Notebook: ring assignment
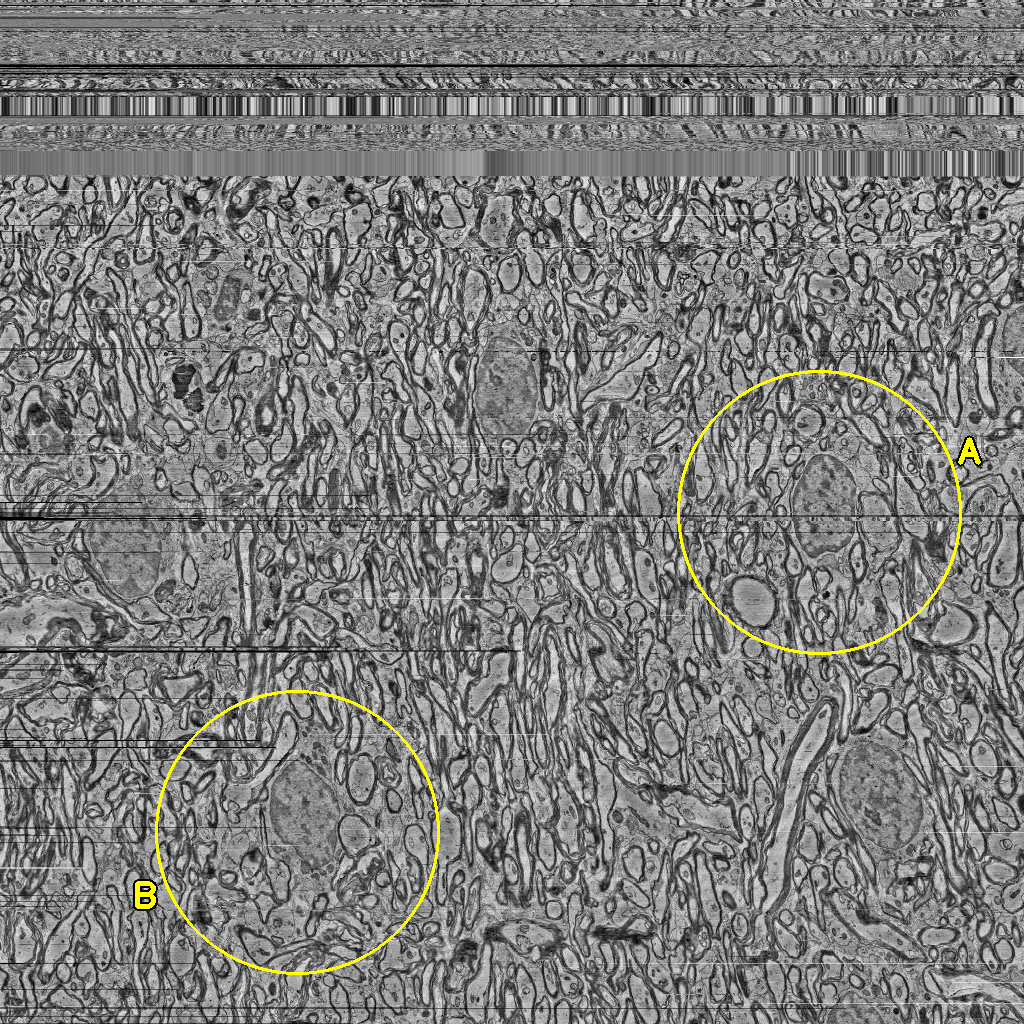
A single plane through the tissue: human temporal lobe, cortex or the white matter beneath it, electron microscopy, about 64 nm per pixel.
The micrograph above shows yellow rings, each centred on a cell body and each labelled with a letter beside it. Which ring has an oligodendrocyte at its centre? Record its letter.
B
